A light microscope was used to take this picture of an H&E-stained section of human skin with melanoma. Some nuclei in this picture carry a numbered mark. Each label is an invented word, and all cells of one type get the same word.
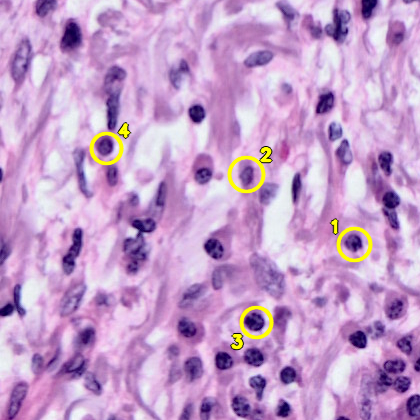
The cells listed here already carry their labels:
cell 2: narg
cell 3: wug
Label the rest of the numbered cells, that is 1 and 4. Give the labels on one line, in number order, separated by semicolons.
wug; wug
